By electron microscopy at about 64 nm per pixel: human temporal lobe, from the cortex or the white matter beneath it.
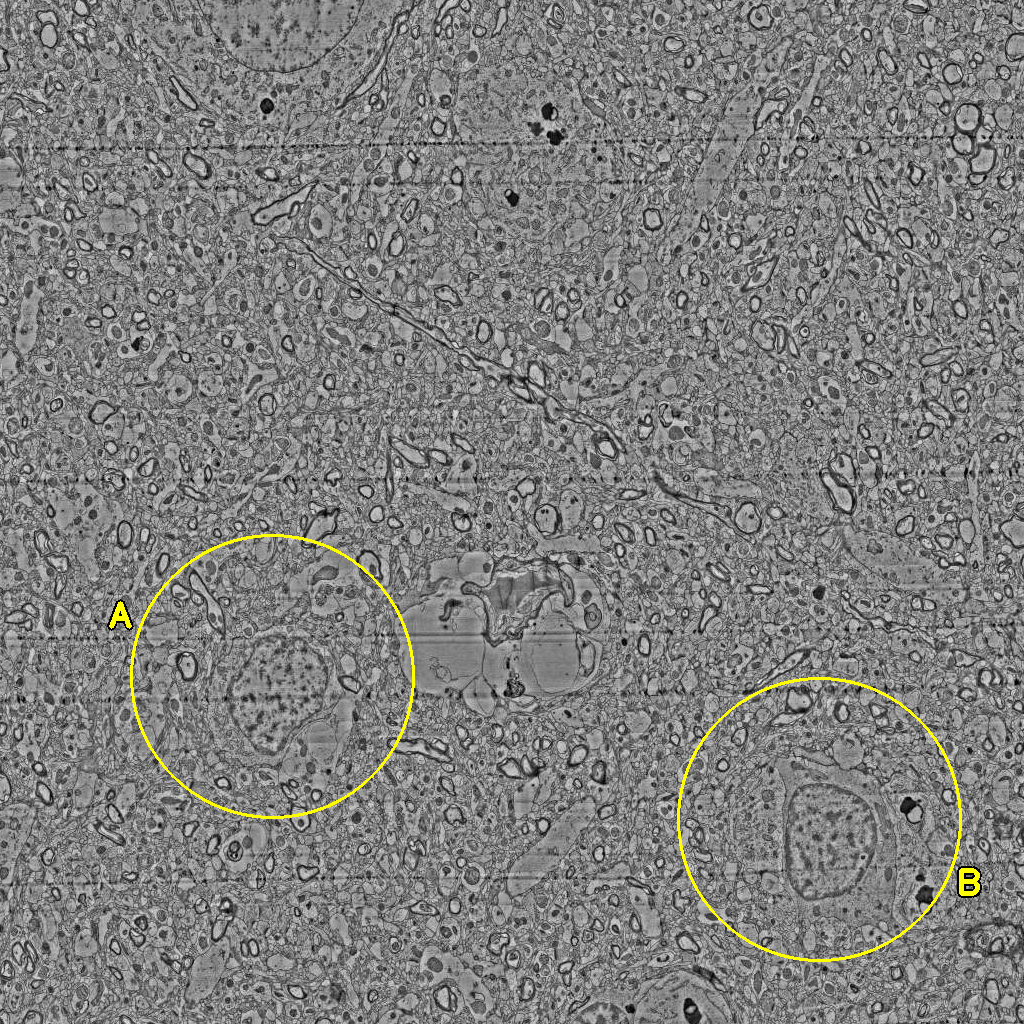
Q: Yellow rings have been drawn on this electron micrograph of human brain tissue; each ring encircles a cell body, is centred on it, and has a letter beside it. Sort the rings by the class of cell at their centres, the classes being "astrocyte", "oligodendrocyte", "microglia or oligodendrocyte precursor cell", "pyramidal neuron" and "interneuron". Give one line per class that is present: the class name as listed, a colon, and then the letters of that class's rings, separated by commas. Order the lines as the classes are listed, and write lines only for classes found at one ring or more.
oligodendrocyte: B
interneuron: A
